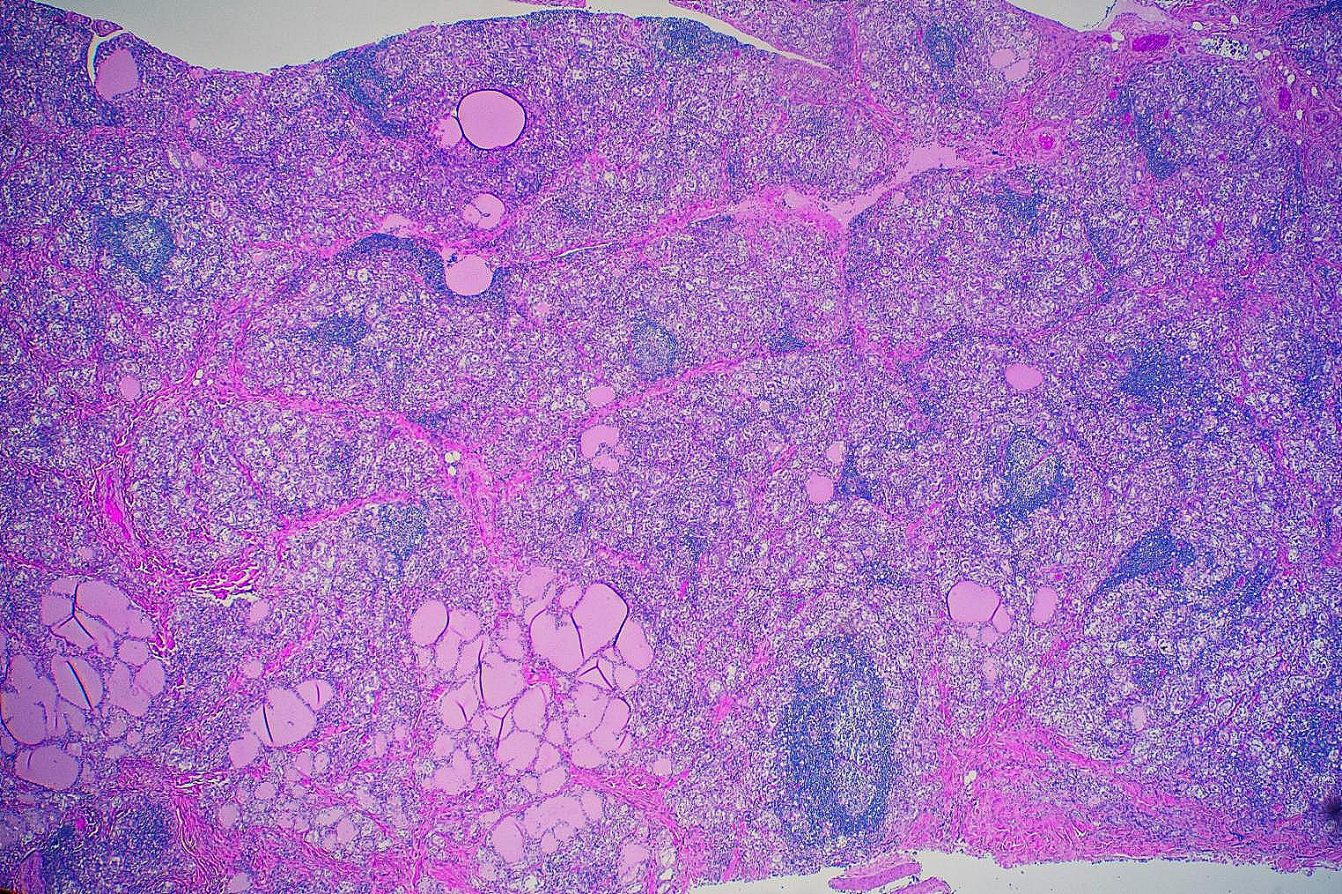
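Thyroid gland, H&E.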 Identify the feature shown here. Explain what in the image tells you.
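Many rounded, darker blue lymphoid aggregates are scattered through the tissue. One large oval dark blue aggregate lies in the lower middle of the field.
Hence: germinal centre.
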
